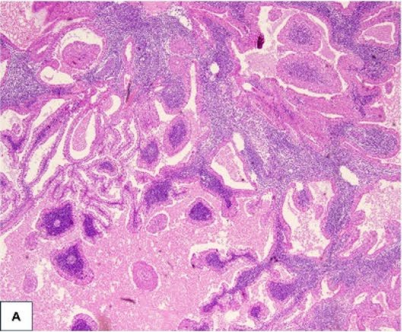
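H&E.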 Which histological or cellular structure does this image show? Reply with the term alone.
prominent lymphoid stroma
